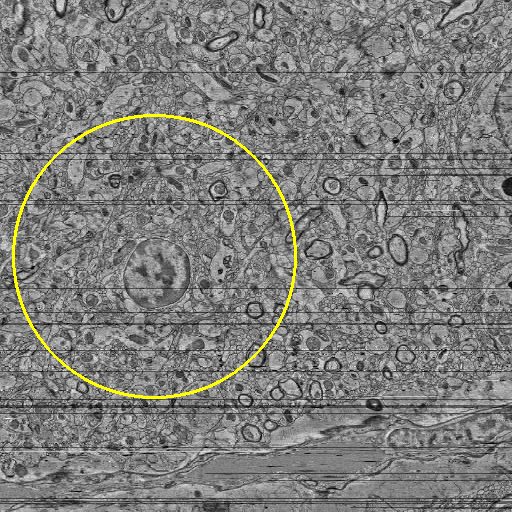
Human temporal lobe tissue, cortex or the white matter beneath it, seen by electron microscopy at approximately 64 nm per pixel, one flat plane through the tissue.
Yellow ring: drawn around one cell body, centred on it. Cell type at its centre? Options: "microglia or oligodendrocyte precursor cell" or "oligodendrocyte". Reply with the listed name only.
microglia or oligodendrocyte precursor cell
